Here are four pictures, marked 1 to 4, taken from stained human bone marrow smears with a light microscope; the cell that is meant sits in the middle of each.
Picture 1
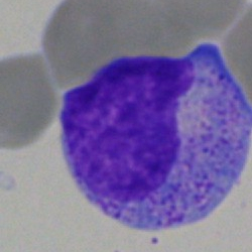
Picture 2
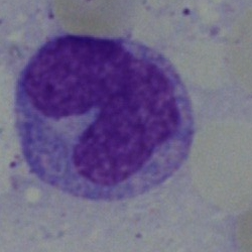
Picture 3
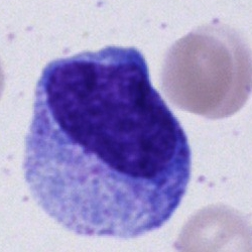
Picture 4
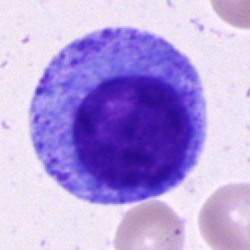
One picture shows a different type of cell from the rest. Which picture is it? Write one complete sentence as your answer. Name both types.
Unlike the rest, which show promyelocytes, picture 2 shows a monocyte.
